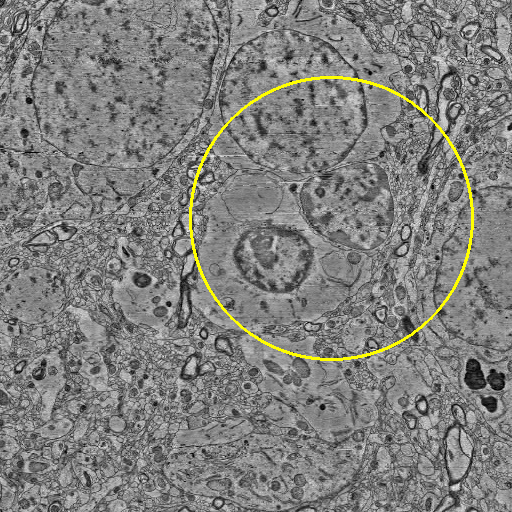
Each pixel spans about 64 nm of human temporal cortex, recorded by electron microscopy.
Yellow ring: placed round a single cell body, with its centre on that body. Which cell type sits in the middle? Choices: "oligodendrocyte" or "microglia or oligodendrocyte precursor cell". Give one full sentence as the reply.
It is a microglial cell or oligodendrocyte precursor cell whose cell body sits at the centre of the yellow ring.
